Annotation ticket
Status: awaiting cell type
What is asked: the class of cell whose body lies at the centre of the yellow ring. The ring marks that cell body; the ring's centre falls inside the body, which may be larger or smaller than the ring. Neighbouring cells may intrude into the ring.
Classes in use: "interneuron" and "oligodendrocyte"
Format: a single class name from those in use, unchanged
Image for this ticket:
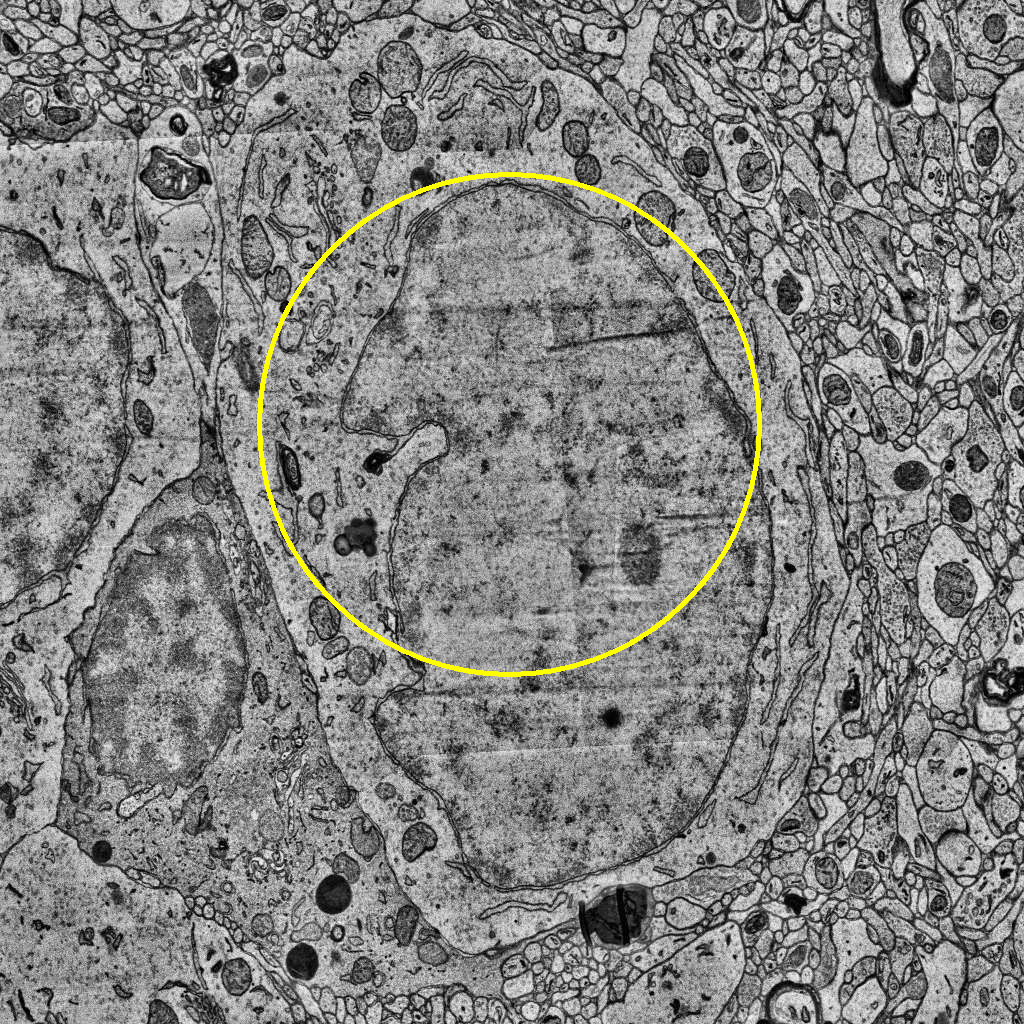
interneuron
